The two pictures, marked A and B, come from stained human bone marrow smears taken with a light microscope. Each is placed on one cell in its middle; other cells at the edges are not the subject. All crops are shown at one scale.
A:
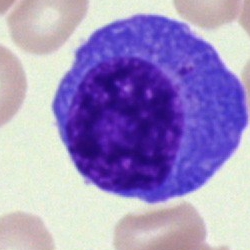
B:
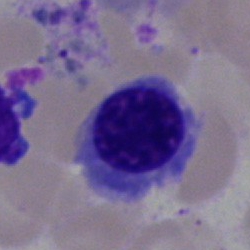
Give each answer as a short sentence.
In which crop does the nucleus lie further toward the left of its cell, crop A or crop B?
It is the nucleus in crop A that lies further toward the left of its cell.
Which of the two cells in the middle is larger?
It is the cell in crop A, about 2.5 times as large in area as the cell in crop B.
